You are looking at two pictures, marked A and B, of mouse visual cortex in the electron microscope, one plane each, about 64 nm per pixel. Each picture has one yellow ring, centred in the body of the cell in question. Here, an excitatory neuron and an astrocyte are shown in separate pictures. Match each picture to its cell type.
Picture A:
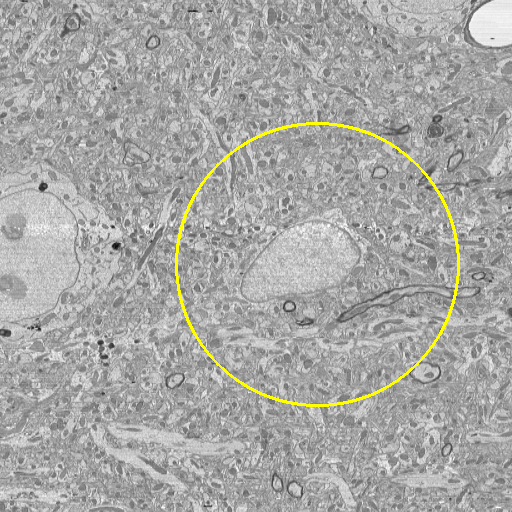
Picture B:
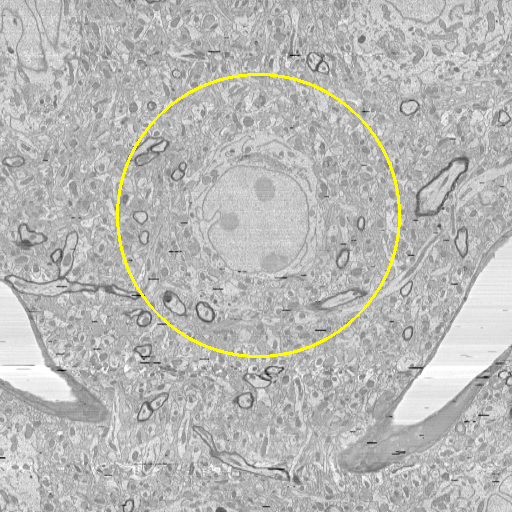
In picture A the cell is an astrocyte; in picture B, an excitatory neuron.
